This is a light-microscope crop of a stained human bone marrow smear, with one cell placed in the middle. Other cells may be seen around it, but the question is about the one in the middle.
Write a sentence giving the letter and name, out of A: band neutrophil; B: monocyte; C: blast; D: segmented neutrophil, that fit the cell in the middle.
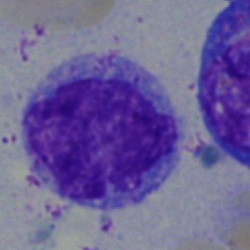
The cell at the heart of the crop is a monocyte, so choose option B.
